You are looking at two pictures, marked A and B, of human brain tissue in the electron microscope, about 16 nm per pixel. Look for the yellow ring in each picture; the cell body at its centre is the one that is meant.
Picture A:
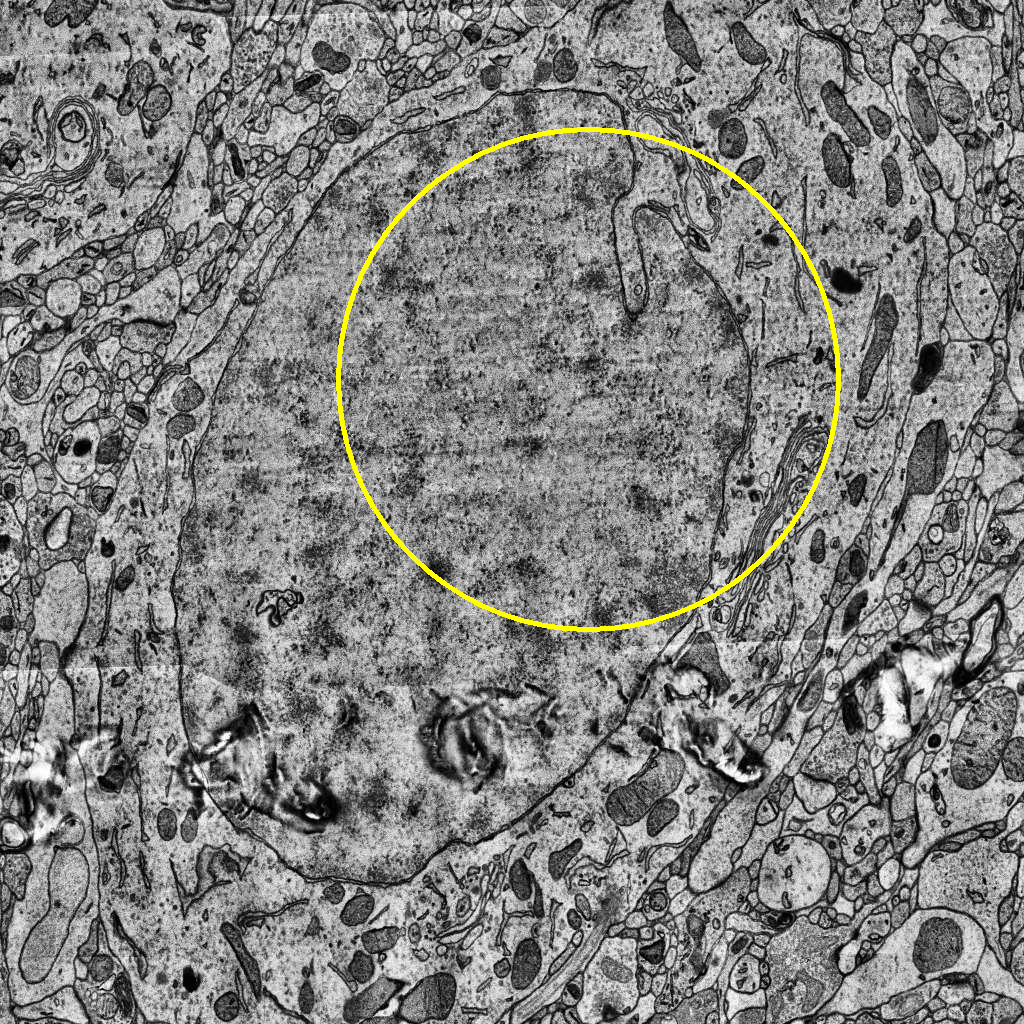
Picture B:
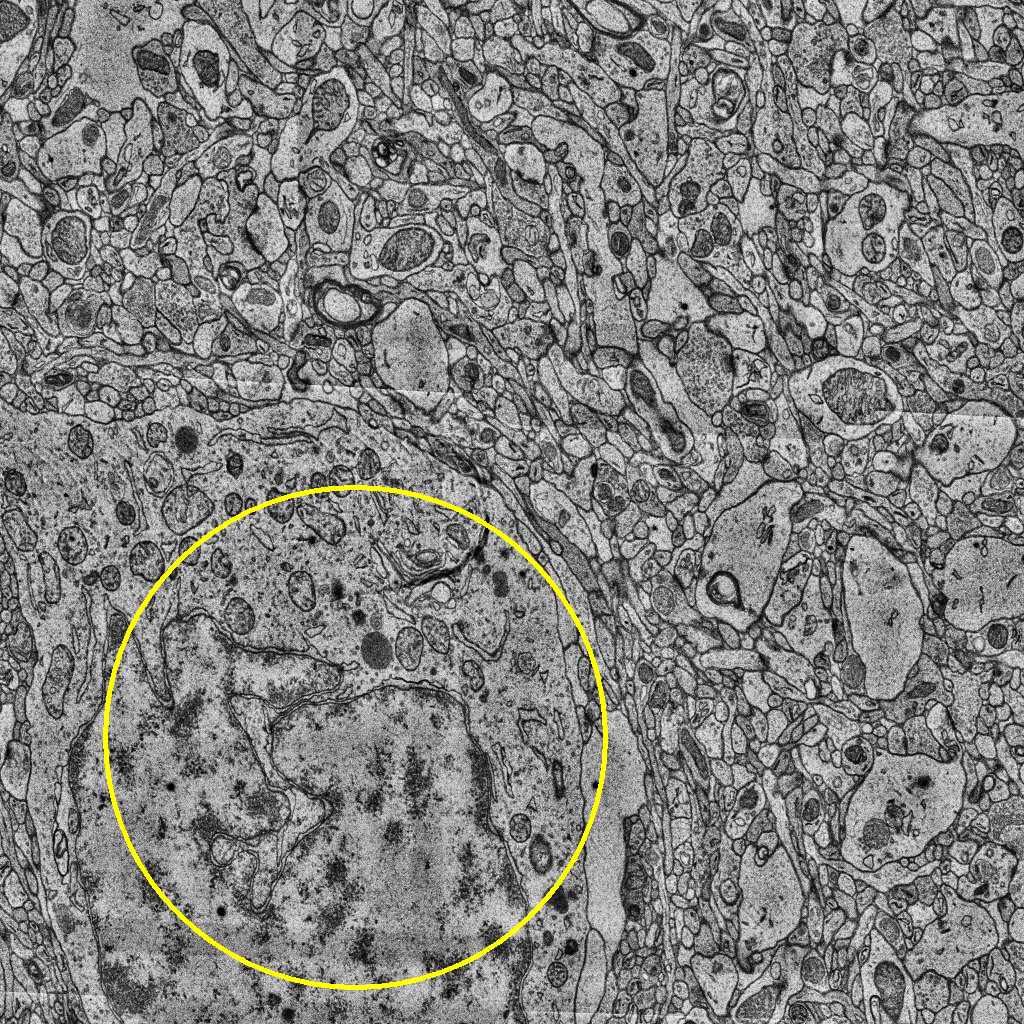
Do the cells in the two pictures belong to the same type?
Yes, they are the same type: both are interneurons.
